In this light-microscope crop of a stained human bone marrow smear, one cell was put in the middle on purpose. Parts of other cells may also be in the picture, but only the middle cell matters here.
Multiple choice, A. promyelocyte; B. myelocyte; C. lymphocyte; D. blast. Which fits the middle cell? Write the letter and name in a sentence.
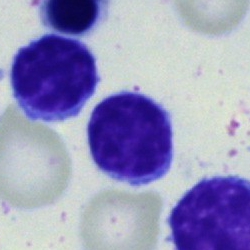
As the central cell is a lymphocyte, option C is correct.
